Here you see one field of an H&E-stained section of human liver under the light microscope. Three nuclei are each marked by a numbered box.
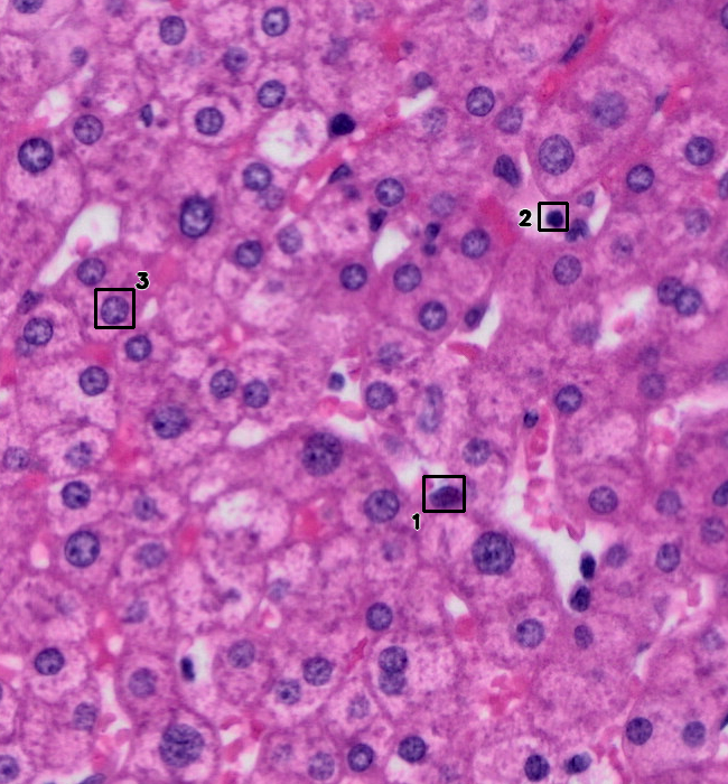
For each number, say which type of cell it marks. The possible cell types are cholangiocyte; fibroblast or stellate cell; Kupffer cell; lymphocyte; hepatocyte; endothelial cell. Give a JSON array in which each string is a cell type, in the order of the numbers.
["endothelial cell", "lymphocyte", "hepatocyte"]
